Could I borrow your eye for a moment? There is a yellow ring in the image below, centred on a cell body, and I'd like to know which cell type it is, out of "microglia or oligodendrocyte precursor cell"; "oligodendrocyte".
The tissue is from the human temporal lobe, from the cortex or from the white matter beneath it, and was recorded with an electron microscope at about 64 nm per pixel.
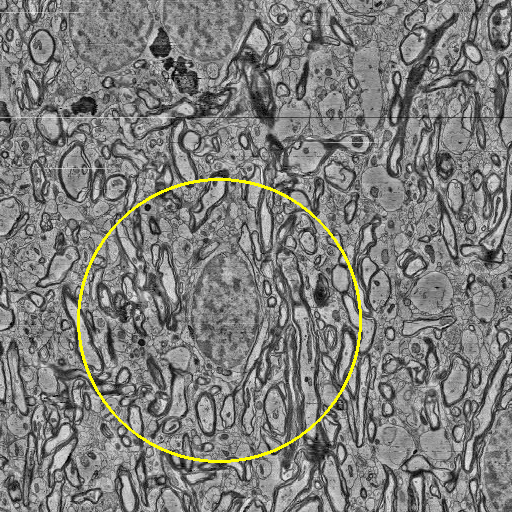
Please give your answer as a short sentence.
The cell body at the centre is that of an oligodendrocyte.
